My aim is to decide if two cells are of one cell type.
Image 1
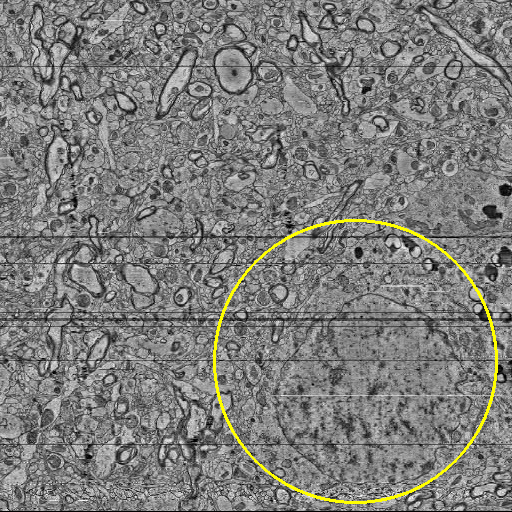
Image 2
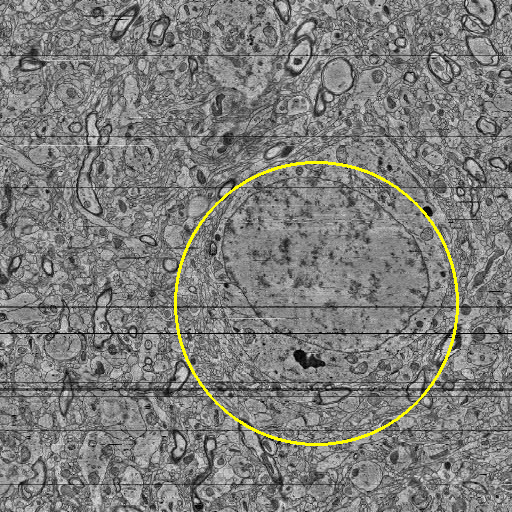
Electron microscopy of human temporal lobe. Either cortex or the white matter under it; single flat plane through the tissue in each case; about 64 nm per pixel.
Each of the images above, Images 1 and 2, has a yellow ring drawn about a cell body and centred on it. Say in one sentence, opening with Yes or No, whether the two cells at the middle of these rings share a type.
Yes, in Images 1 and 2 the cells at the middle of the rings share one type.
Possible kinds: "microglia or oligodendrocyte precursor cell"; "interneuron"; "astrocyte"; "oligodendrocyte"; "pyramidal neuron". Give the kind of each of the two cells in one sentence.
Each of the two rings surrounds a pyramidal neuron.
